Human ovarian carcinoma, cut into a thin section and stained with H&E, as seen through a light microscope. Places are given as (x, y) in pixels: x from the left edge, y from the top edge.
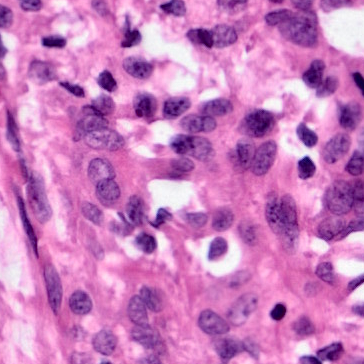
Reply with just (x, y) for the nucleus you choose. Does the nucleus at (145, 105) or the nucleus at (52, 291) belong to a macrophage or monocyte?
(145, 105)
